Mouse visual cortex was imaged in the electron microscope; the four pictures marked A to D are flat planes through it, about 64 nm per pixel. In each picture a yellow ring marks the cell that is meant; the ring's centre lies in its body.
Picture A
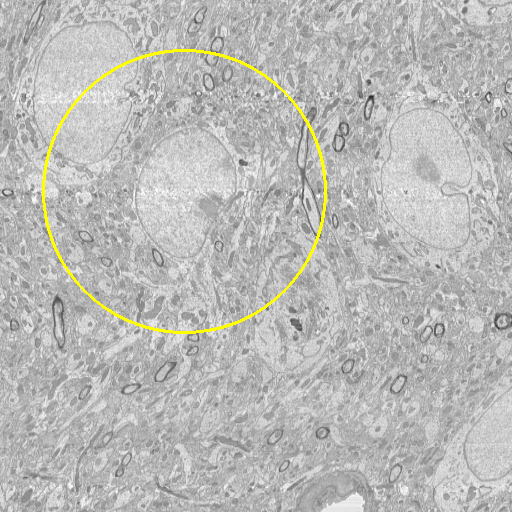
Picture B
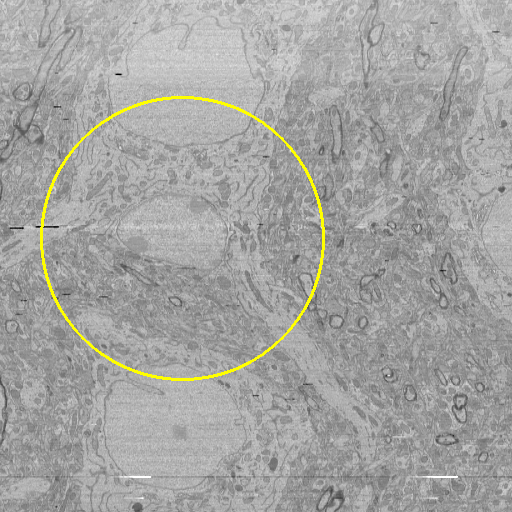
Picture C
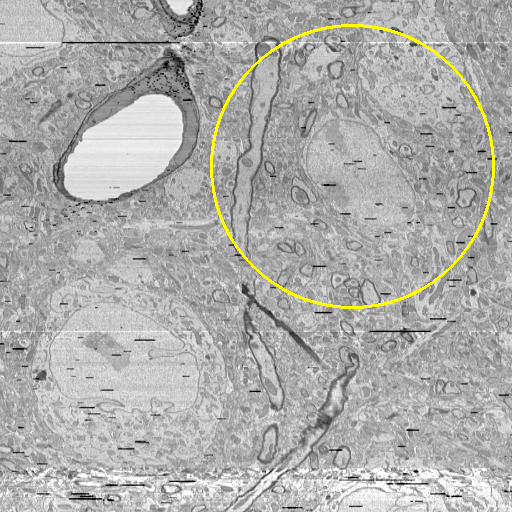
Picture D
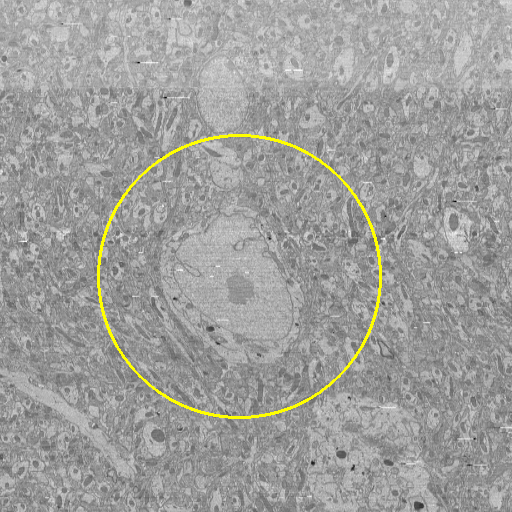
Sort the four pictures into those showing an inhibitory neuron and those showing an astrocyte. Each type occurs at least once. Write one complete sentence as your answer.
Picture D shows an inhibitory neuron; pictures A, B and C show astrocytes.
